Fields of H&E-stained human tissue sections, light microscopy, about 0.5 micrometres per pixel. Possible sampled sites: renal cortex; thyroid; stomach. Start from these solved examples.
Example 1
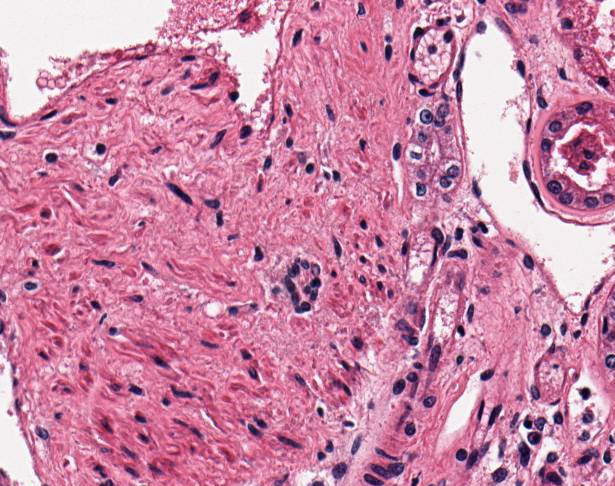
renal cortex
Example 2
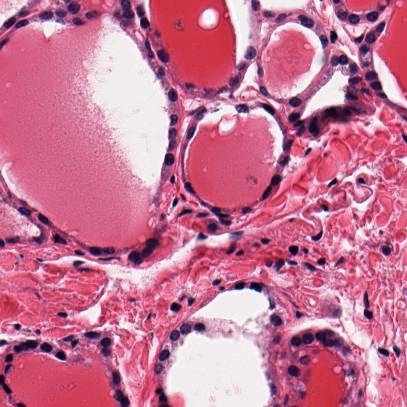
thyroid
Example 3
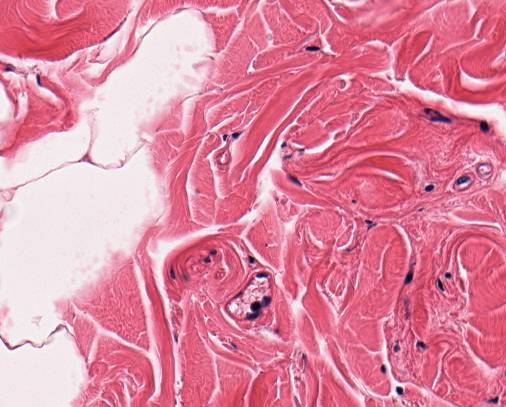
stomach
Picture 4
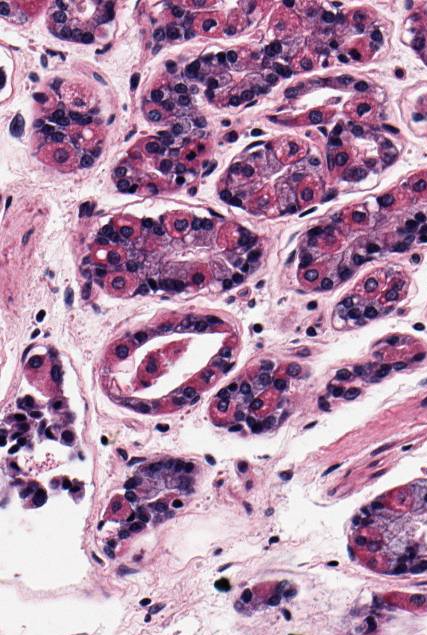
stomach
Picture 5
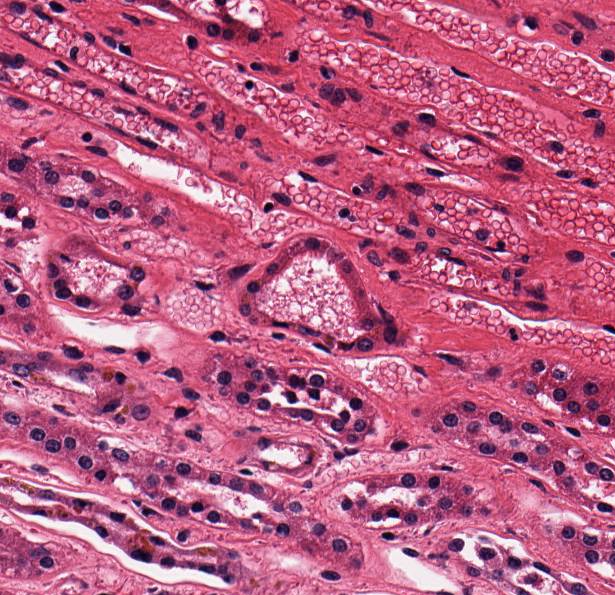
renal cortex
